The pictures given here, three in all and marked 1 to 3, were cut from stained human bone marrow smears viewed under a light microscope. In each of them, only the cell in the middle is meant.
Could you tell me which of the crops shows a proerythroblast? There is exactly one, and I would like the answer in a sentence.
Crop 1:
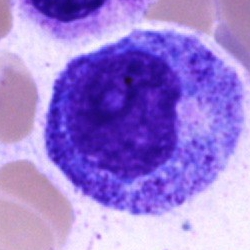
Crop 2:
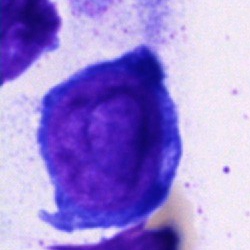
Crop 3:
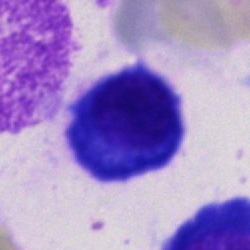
The crop bearing a proerythroblast is crop 2.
